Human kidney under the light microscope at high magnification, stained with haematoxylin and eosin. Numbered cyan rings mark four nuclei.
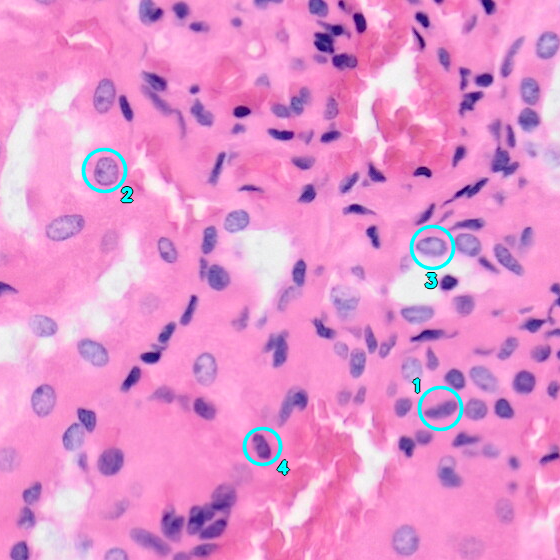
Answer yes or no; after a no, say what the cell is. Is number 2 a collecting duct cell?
No, it is a proximal tubule cell.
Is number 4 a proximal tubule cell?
Yes.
